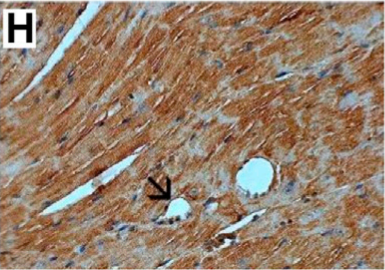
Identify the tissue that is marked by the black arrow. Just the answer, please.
Endothelium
